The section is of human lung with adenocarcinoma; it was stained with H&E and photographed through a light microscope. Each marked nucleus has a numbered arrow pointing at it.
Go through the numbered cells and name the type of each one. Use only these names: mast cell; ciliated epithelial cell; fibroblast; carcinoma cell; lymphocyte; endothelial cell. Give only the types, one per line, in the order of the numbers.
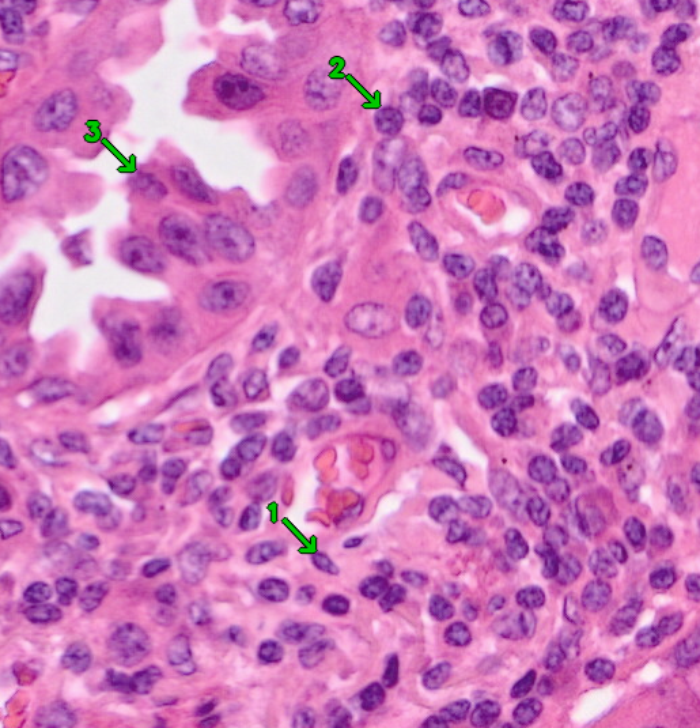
lymphocyte
lymphocyte
carcinoma cell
